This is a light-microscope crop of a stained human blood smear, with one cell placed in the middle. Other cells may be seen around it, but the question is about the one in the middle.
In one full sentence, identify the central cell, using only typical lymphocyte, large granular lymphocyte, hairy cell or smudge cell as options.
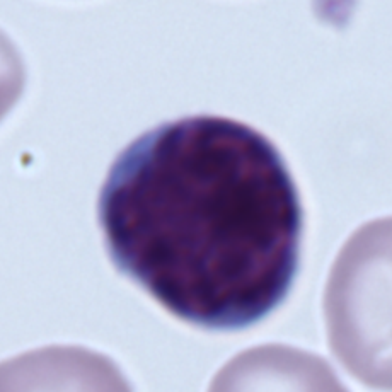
In the central position of this crop, the cell is a typical lymphocyte.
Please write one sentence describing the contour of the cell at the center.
The border of this cell runs smooth and free of any projections.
